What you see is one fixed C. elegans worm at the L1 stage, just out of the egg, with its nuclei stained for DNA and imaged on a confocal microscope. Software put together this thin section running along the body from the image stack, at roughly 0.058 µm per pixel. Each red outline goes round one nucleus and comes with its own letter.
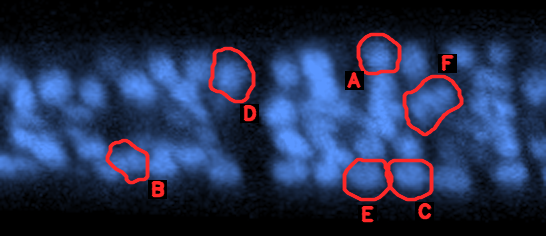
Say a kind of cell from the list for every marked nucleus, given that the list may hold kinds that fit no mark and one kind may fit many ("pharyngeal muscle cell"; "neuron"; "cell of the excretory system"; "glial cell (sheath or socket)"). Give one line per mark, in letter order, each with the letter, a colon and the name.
A: neuron
B: glial cell (sheath or socket)
C: neuron
D: glial cell (sheath or socket)
E: neuron
F: cell of the excretory system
